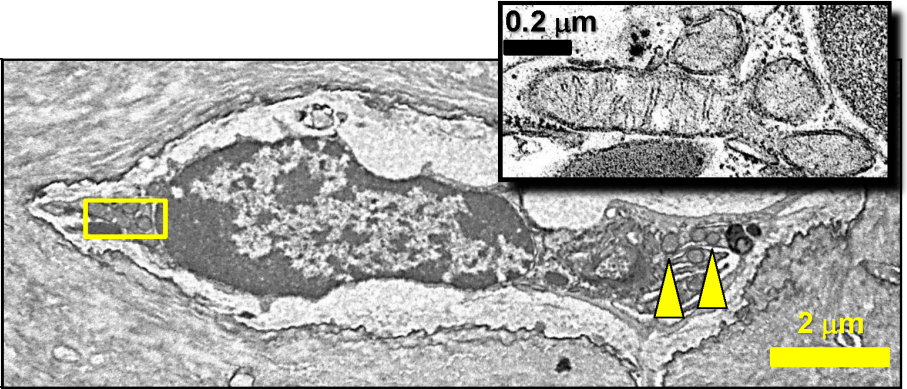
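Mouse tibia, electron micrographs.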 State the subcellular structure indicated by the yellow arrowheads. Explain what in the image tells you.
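The arrowheads point to small oval membrane-bound organelles in the cytoplasm. The enlarged organelle in the inset shows a double membrane with transverse internal folds. On this evidence: mitochondria.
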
